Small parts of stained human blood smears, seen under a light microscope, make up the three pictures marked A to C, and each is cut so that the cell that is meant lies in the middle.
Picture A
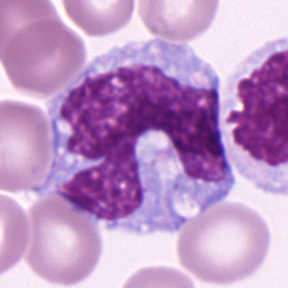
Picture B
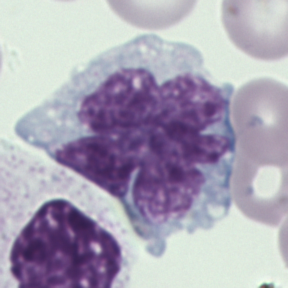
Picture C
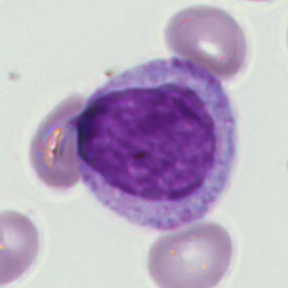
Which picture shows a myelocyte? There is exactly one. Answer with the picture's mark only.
C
